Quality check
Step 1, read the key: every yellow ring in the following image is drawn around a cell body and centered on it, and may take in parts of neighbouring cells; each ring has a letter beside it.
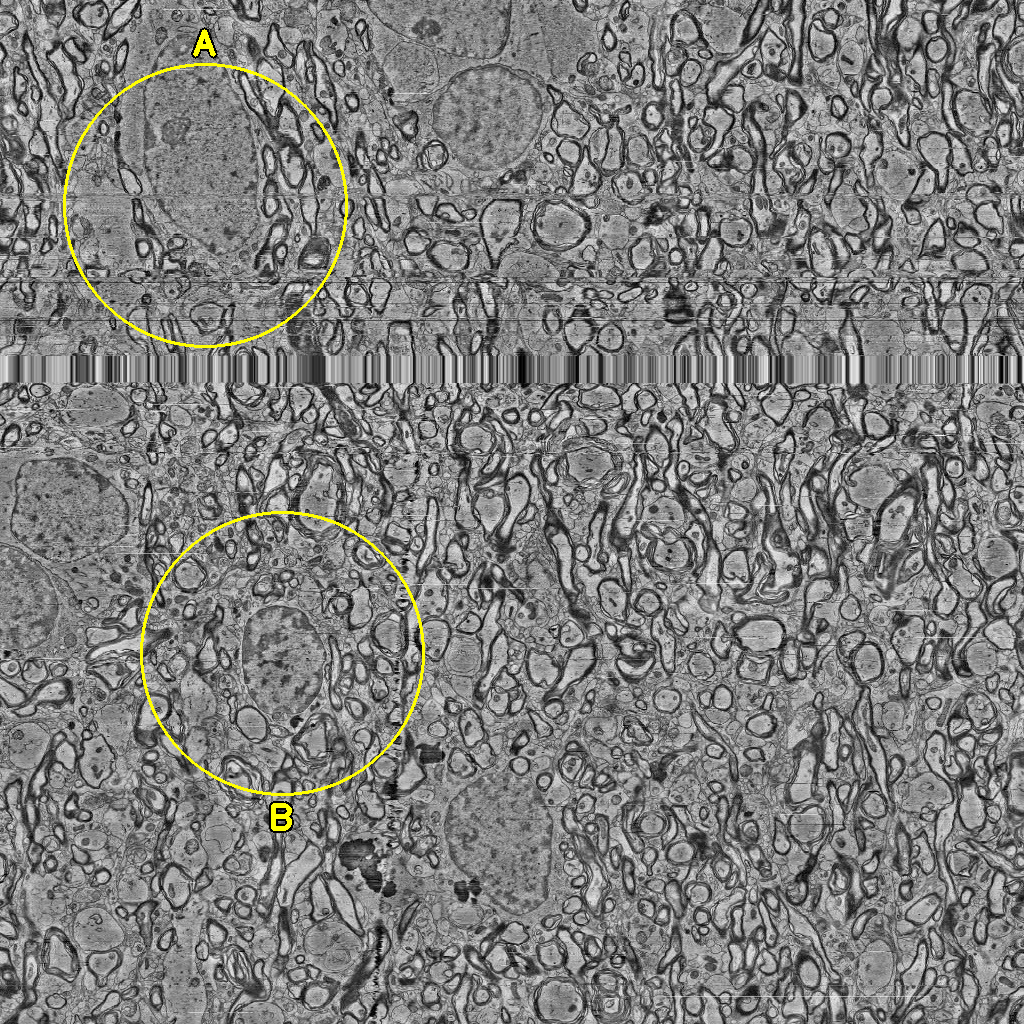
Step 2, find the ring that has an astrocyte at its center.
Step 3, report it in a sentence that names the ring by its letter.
Ring A is centered on that cell.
